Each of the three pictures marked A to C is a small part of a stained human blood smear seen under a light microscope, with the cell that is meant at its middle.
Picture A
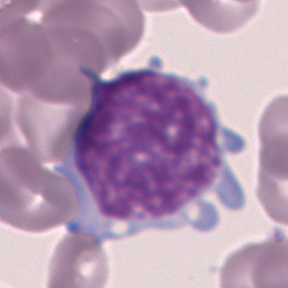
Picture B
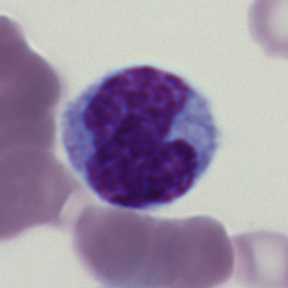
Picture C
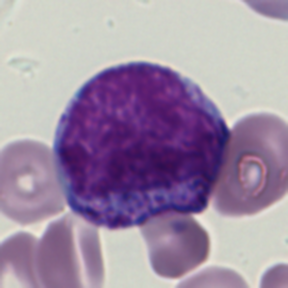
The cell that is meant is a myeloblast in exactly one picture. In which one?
A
